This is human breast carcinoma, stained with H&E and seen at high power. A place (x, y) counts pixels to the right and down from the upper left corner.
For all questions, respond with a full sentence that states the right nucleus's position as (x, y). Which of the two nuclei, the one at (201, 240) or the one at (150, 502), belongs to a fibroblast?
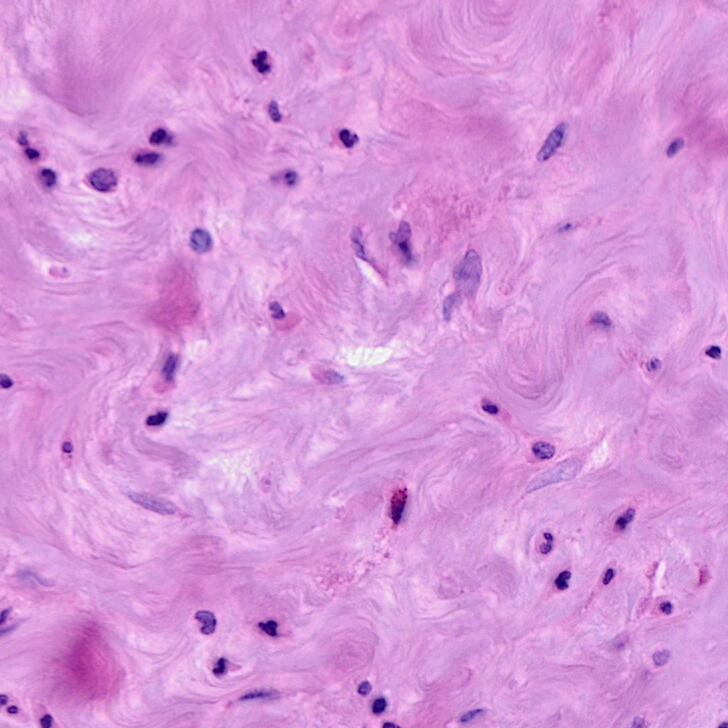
Of the two nuclei present, the one at (150, 502) is within a fibroblast.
